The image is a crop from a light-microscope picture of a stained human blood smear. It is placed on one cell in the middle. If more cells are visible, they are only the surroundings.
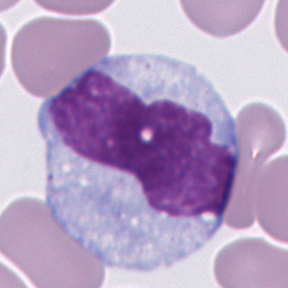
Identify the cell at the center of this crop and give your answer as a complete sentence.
Centred in the crop is a monocyte.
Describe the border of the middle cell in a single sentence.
There are no projections here; the outline is simply smooth.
